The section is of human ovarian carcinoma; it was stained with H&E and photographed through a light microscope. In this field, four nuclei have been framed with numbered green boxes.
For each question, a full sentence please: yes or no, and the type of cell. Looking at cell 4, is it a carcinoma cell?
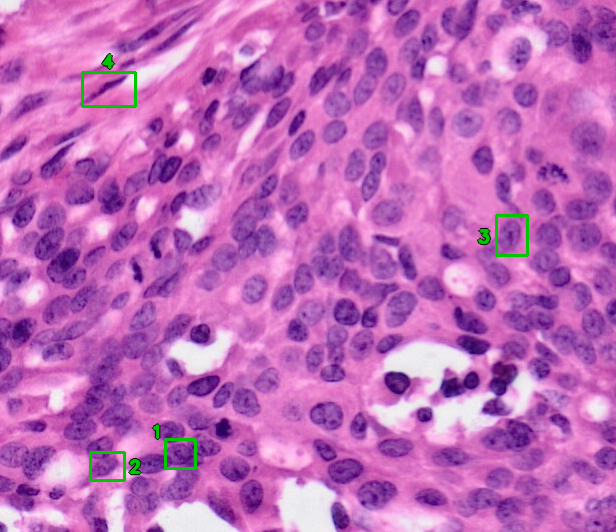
No, the cell carrying number 4 is a fibroblast rather than a carcinoma cell.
